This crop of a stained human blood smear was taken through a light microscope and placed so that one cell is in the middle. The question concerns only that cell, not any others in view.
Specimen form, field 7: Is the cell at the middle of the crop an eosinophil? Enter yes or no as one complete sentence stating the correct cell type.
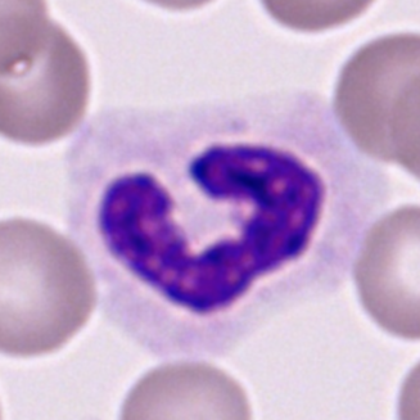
No, mark the middle cell as a band neutrophil, not an eosinophil.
